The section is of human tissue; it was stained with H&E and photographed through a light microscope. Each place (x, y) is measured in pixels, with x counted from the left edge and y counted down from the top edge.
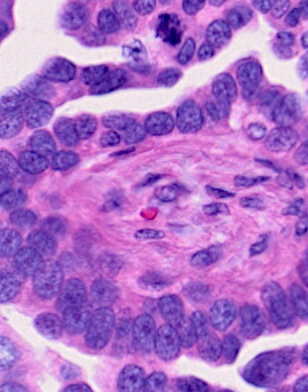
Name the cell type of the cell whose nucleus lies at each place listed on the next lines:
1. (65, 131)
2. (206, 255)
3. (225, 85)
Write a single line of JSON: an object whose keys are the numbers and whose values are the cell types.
{"1": "carcinoma cell", "2": "fibroblast", "3": "carcinoma cell"}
